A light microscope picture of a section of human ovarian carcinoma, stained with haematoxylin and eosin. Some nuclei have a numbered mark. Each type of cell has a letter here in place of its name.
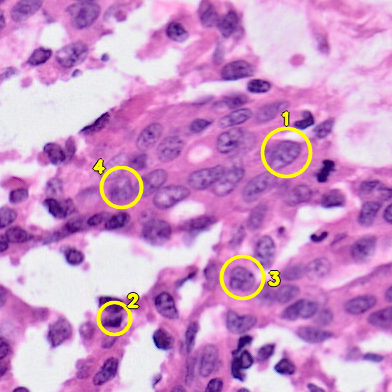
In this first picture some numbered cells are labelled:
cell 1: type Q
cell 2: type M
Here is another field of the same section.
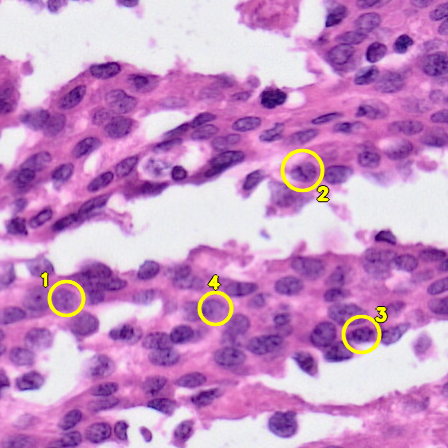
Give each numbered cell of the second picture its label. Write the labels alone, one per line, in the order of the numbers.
type Q
type M
type Q
type Q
